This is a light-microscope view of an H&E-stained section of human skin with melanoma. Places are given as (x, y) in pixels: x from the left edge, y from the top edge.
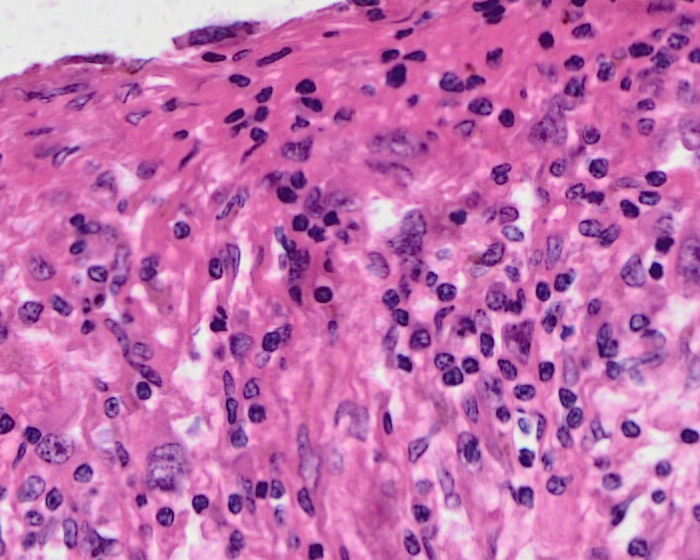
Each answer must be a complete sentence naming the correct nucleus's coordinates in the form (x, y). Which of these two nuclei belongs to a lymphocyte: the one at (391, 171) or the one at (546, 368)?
The nucleus that belongs to a lymphocyte sits at (546, 368).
